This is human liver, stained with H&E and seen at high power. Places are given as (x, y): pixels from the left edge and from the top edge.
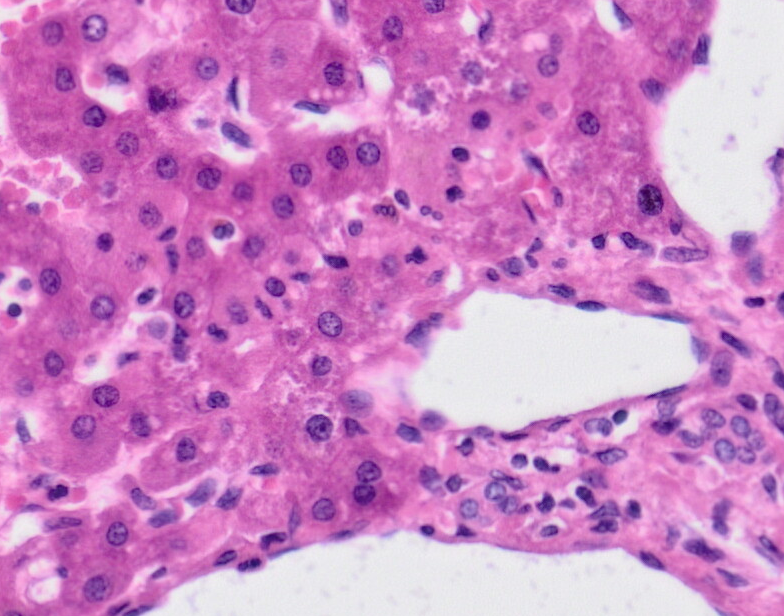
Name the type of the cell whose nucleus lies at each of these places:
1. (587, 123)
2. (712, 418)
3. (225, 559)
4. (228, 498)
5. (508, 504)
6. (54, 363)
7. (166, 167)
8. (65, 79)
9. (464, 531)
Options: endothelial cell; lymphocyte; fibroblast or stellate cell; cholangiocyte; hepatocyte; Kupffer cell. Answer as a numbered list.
1. hepatocyte
2. cholangiocyte
3. fibroblast or stellate cell
4. fibroblast or stellate cell
5. cholangiocyte
6. hepatocyte
7. hepatocyte
8. hepatocyte
9. fibroblast or stellate cell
